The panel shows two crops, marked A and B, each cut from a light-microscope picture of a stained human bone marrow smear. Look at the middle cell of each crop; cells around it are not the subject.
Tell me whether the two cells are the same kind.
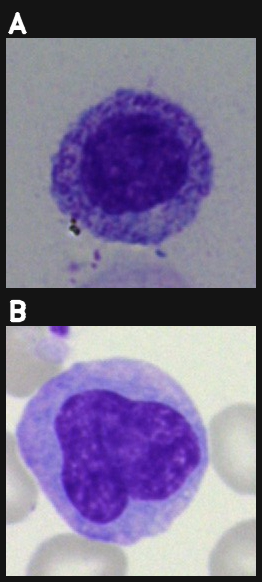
no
